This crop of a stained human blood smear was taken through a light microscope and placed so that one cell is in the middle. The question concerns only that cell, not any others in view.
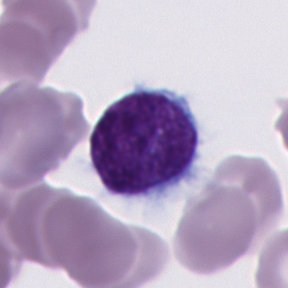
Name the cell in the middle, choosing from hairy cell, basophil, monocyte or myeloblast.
hairy cell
